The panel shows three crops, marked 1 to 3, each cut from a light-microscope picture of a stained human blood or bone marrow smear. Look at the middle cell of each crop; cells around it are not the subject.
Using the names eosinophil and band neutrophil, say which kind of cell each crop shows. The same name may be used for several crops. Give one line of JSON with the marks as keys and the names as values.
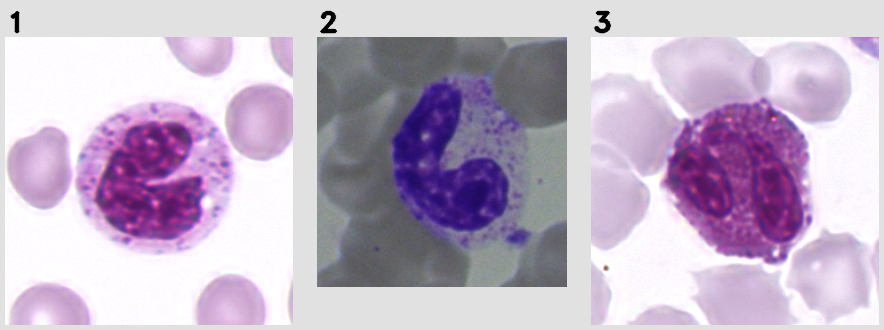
{"1": "band neutrophil", "2": "band neutrophil", "3": "eosinophil"}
